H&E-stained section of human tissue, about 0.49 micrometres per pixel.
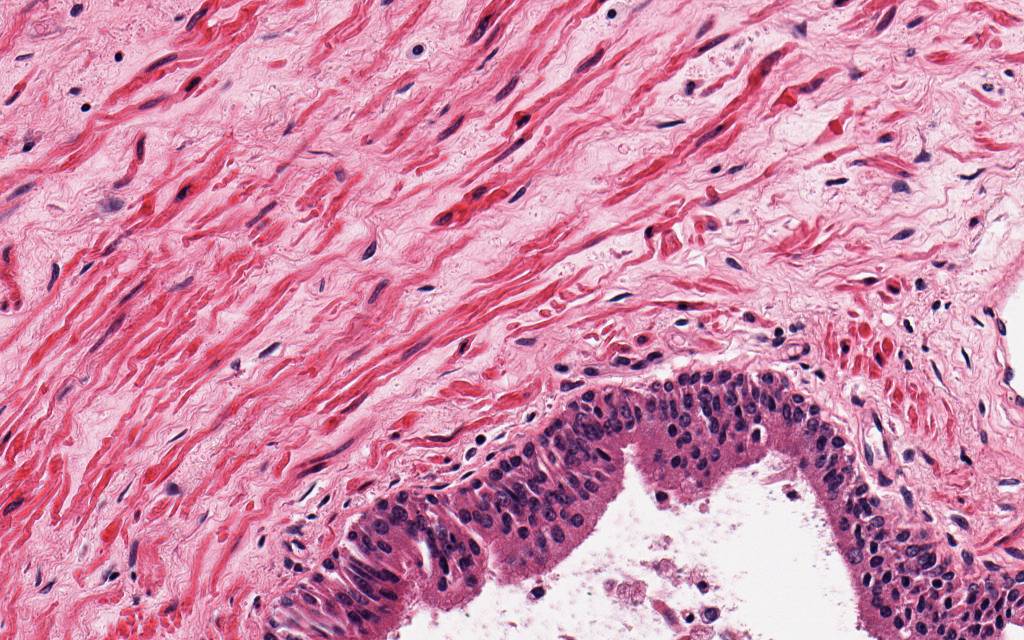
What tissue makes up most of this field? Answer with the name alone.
fibromuscular stroma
